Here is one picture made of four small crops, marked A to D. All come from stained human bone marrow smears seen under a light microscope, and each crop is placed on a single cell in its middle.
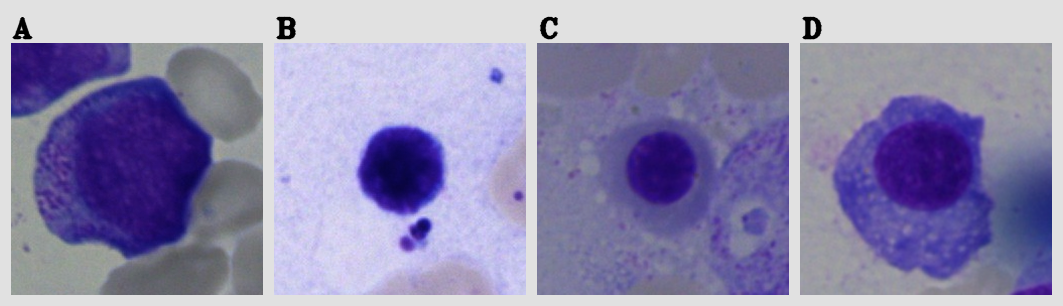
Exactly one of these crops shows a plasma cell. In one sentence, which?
Crop D, of the crops presented, is the one showing a plasma cell.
